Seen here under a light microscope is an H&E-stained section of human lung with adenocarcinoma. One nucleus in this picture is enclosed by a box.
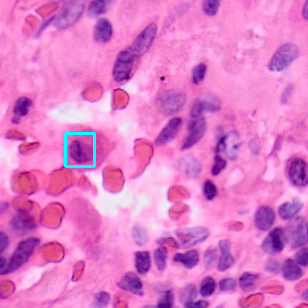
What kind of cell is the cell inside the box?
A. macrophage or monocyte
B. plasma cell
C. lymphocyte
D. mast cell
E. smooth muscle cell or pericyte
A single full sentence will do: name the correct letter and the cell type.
Option A is the right one; the cell inside the box is a macrophage or monocyte.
